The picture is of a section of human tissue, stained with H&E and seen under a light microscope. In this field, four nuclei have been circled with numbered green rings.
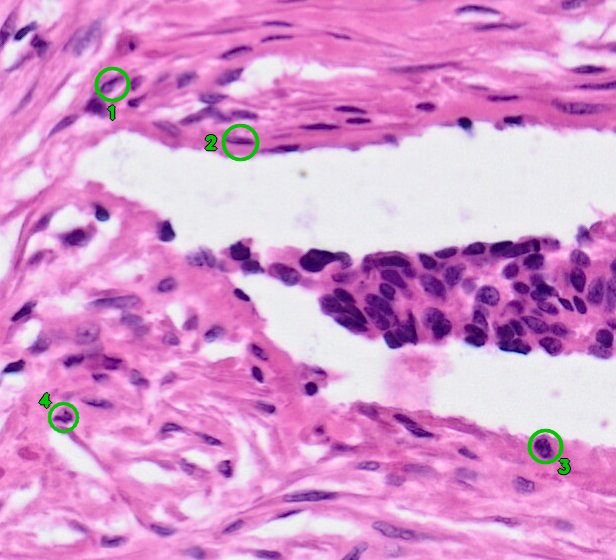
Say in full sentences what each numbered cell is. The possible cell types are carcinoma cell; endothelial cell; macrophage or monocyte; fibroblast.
Cells 1, 2 and 4 are fibroblasts. Cell 3 is a macrophage or monocyte.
